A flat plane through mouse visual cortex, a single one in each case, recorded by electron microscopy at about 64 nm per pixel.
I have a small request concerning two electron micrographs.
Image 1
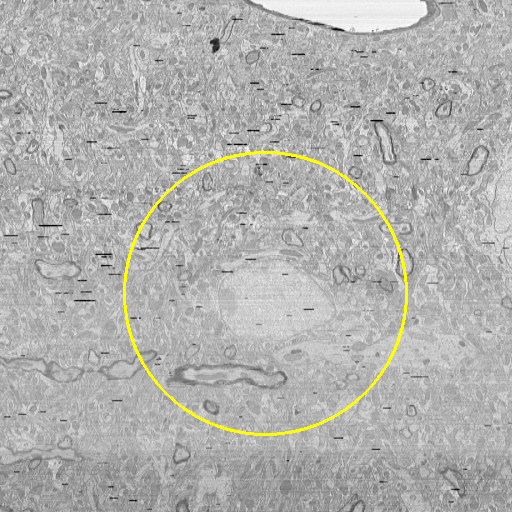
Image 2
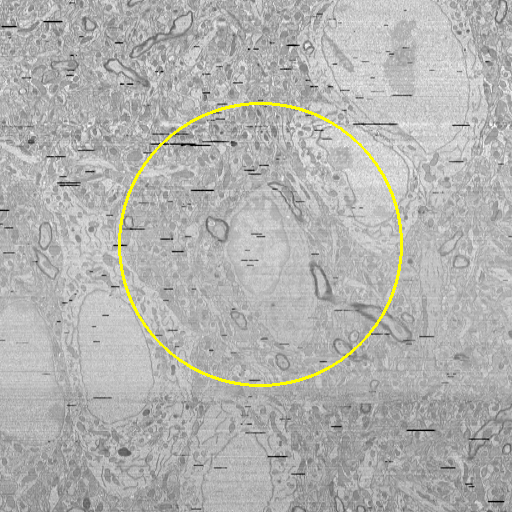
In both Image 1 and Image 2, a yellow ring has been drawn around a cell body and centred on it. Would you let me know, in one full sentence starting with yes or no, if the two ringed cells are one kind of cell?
No, the cells ringed in Image 1 and Image 2 are two kinds of cell.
